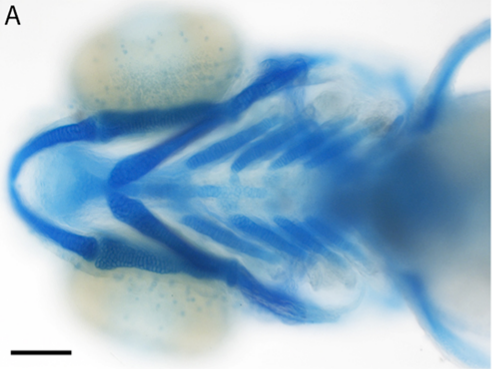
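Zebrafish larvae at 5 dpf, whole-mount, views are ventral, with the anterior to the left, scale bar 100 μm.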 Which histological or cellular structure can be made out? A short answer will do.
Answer: viscerocranium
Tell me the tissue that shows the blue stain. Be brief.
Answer: Cartilage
